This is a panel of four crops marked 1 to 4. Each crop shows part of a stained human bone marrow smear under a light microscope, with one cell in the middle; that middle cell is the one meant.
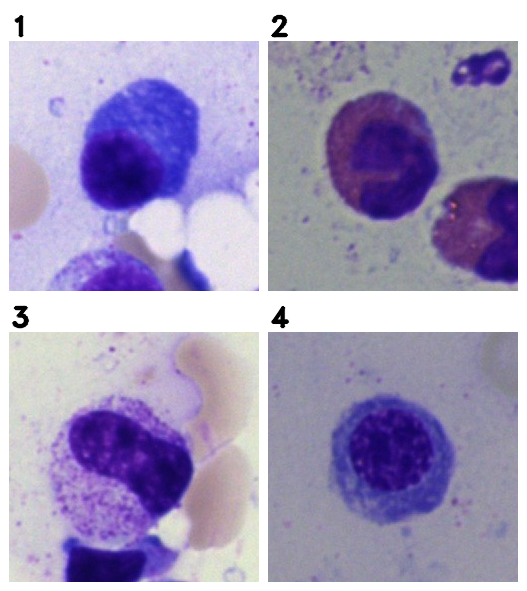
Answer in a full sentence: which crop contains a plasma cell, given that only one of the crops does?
Crop 1 is identified as the crop showing a plasma cell.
